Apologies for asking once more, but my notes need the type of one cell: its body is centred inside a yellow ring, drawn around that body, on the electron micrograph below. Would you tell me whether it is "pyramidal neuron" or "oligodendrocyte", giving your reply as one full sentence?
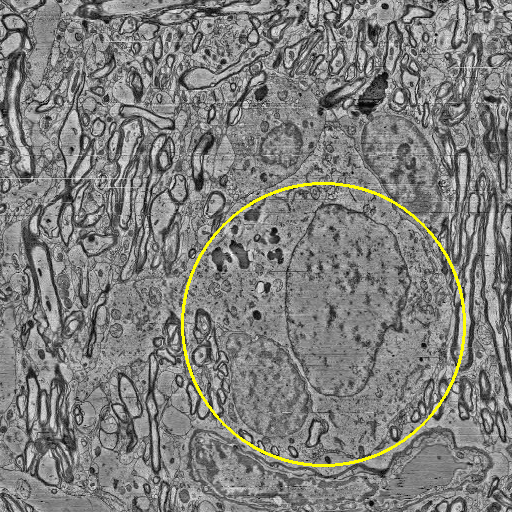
The cell that the yellow ring is centred on is a pyramidal neuron in this micrograph.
